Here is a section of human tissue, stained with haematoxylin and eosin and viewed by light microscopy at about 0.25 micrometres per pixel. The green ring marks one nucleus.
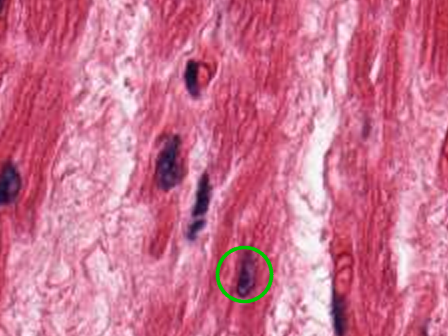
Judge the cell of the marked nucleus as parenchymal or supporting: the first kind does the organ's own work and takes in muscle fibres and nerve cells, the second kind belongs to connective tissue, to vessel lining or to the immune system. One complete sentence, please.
The marked nucleus belongs to a cardiomyocyte, a parenchymal cell.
